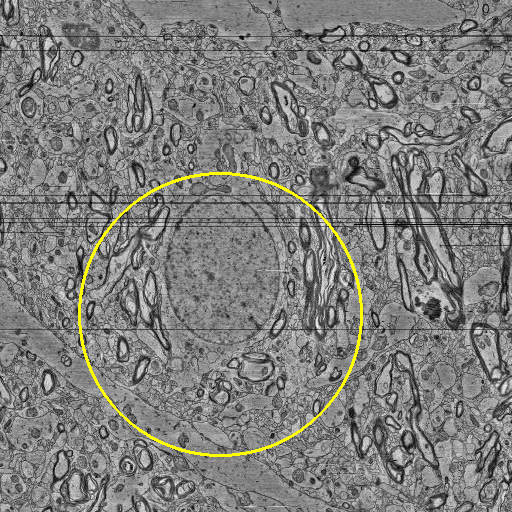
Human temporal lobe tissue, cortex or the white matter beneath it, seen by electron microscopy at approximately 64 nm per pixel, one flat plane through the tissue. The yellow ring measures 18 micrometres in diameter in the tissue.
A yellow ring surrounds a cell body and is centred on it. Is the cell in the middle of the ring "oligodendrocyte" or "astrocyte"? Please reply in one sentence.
The ring is centred on an astrocyte.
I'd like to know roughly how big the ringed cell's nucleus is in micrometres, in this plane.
The ringed cell's nucleus is about 10 micrometres long and 7 micrometres wide in this plane.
